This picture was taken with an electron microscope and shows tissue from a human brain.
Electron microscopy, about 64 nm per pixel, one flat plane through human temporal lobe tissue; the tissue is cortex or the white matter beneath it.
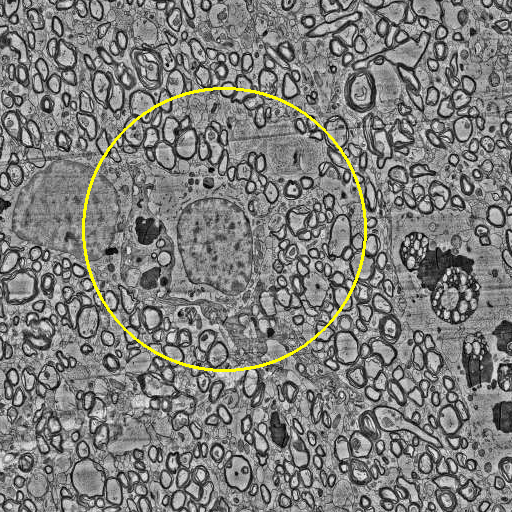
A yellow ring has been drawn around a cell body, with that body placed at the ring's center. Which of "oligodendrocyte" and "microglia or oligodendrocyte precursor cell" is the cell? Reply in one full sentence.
In this picture, a microglial cell or oligodendrocyte precursor cell is the cell at the center of the yellow ring.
